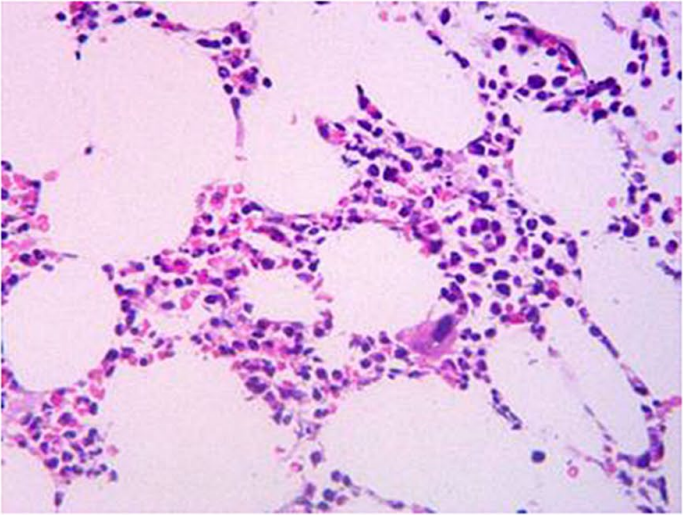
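This section of bone marrow shows hematopoietic tissue lying in cords between large, round, empty fat spaces. The cords are densely packed with small cells bearing dark purple, round to irregular nuclei, many with a rim of pink cytoplasm, and scattered pink-staining cells are mixed among them. Near the lower centre lies a single giant cell, a megakaryocyte, with abundant pink cytoplasm and a large, dark, lobulated nucleus; it is many times the size of the surrounding cells.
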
